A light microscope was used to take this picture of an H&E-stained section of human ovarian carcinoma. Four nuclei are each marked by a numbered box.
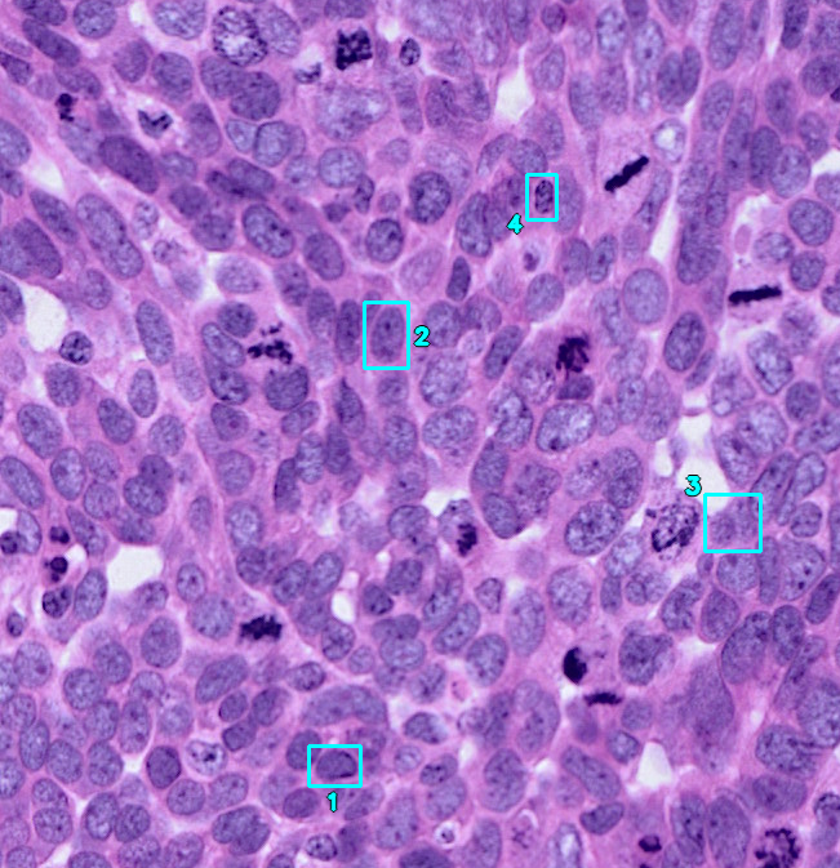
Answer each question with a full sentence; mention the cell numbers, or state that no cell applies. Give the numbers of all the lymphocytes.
Only number 4 is a lymphocyte; none of the others are.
